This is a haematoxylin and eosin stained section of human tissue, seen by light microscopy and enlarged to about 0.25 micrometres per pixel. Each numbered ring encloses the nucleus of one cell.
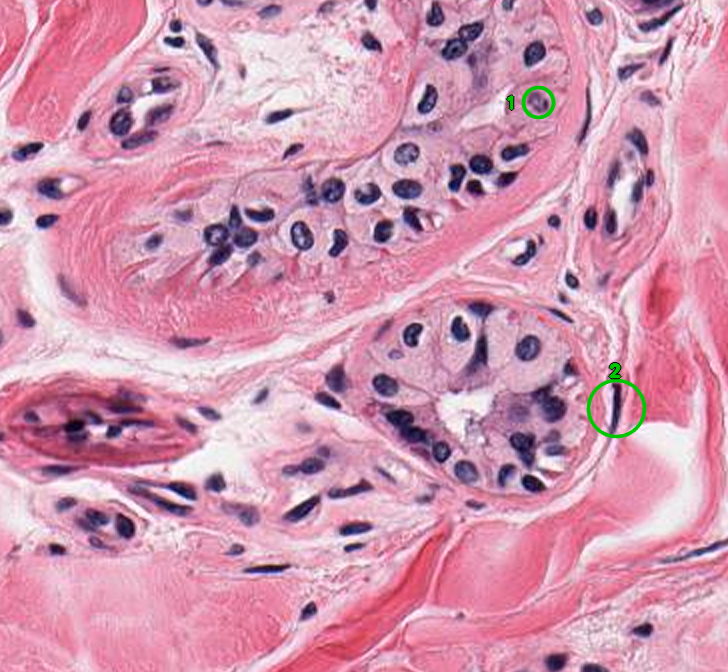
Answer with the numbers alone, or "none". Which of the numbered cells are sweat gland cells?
1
